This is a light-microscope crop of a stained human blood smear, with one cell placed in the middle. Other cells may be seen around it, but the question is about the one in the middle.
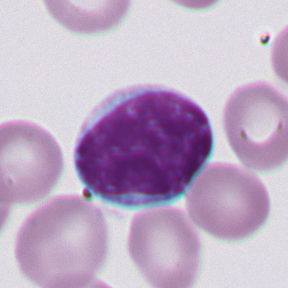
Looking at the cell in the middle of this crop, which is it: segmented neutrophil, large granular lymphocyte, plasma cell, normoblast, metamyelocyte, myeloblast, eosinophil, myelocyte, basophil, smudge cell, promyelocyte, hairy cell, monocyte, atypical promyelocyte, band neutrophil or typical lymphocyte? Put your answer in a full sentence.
The crop shows a typical lymphocyte in its centre.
